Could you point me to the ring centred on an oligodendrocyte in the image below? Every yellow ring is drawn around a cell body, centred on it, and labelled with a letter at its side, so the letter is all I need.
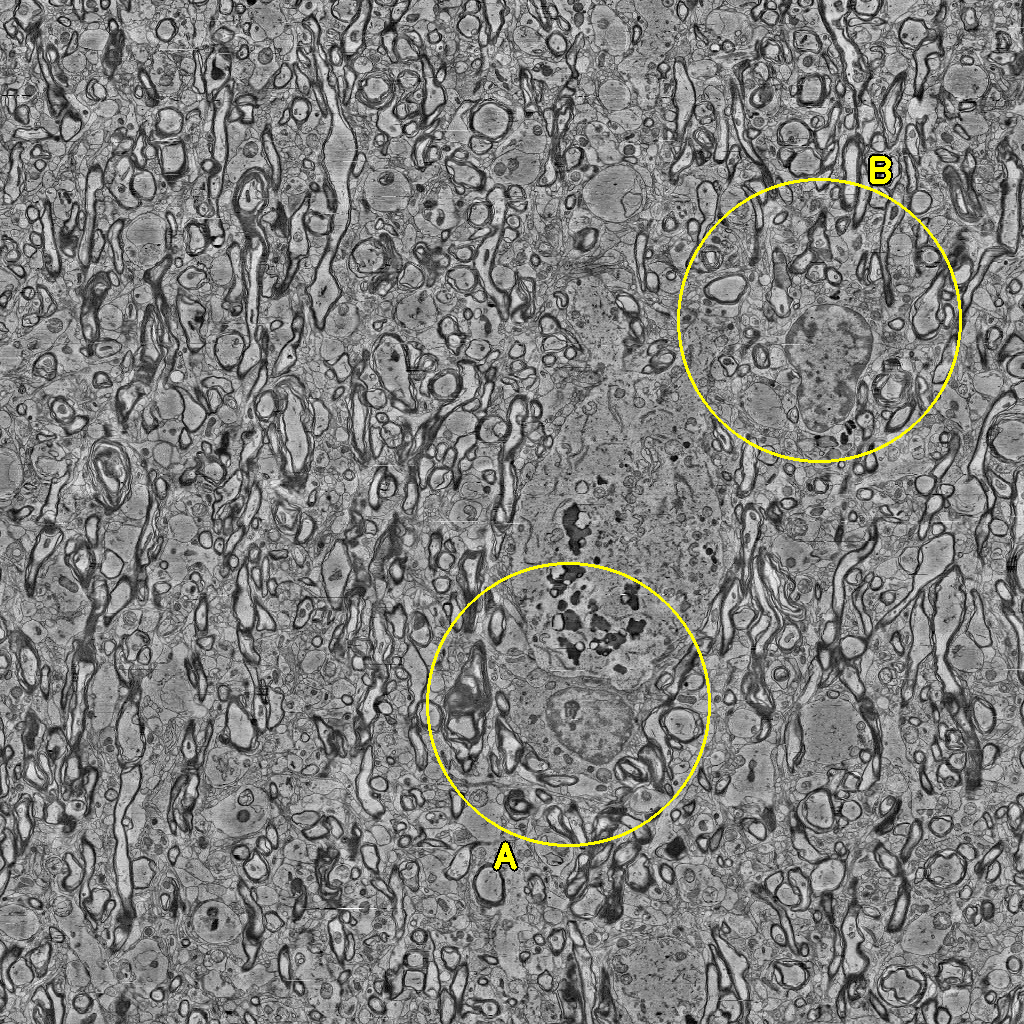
A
